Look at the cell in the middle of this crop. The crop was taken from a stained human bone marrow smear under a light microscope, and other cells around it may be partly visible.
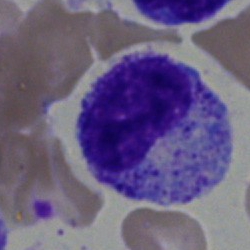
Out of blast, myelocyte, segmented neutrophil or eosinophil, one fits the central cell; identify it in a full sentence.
This particular crop is centered on a myelocyte.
